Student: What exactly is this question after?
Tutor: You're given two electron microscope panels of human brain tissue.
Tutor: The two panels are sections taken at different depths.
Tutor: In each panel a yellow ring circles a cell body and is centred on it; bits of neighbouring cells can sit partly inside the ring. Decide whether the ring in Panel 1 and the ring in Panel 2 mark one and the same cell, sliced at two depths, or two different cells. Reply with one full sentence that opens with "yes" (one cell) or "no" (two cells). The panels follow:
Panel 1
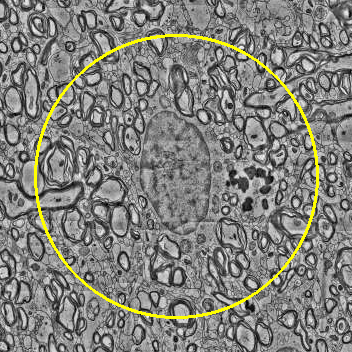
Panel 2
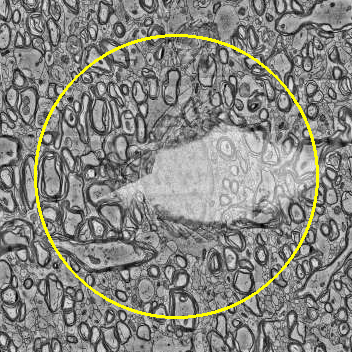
Yes, the two yellow circles hold the same cell.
